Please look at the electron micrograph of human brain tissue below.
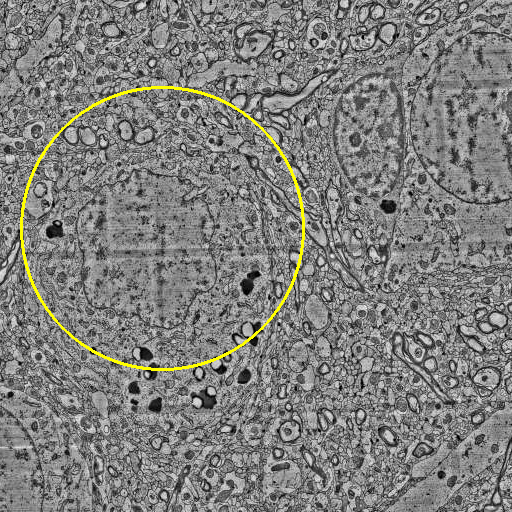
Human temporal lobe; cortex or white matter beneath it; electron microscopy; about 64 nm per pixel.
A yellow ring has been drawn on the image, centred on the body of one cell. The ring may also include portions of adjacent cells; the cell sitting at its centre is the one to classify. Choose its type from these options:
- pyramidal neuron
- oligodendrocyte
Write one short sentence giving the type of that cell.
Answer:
The cell in the middle of the ring is a pyramidal neuron.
